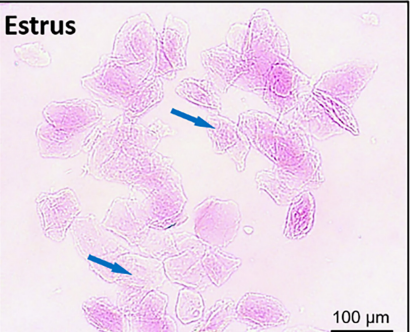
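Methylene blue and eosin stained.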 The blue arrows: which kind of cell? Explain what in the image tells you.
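Cornified epithelial cells. The arrowed cells are large, flat and angular with folded edges. No nucleus is visible in them. They lie in overlapping sheets.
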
